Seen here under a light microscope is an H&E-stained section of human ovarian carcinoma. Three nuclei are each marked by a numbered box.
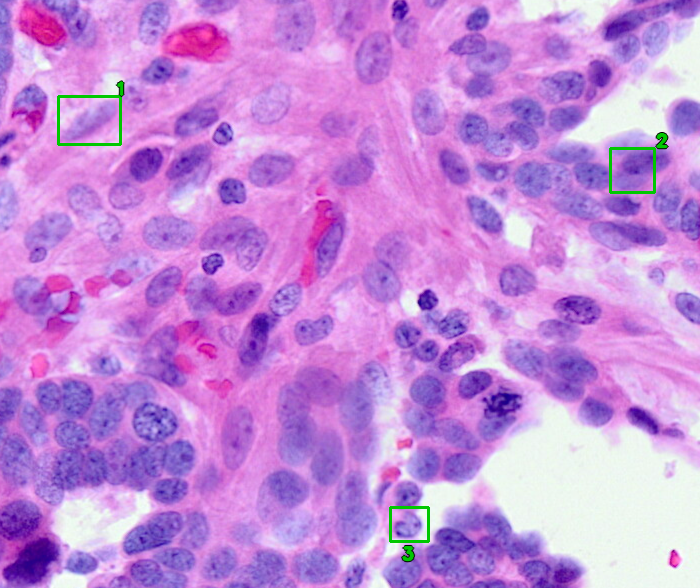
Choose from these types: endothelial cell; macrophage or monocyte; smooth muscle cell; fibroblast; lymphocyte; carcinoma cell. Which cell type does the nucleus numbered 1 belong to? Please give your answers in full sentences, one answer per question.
As for number 1, that cell is a fibroblast.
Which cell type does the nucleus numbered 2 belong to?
Identified as a carcinoma cell is the cell bearing the number 2.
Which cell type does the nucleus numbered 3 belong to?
At number 3, the marked cell is a macrophage or monocyte.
